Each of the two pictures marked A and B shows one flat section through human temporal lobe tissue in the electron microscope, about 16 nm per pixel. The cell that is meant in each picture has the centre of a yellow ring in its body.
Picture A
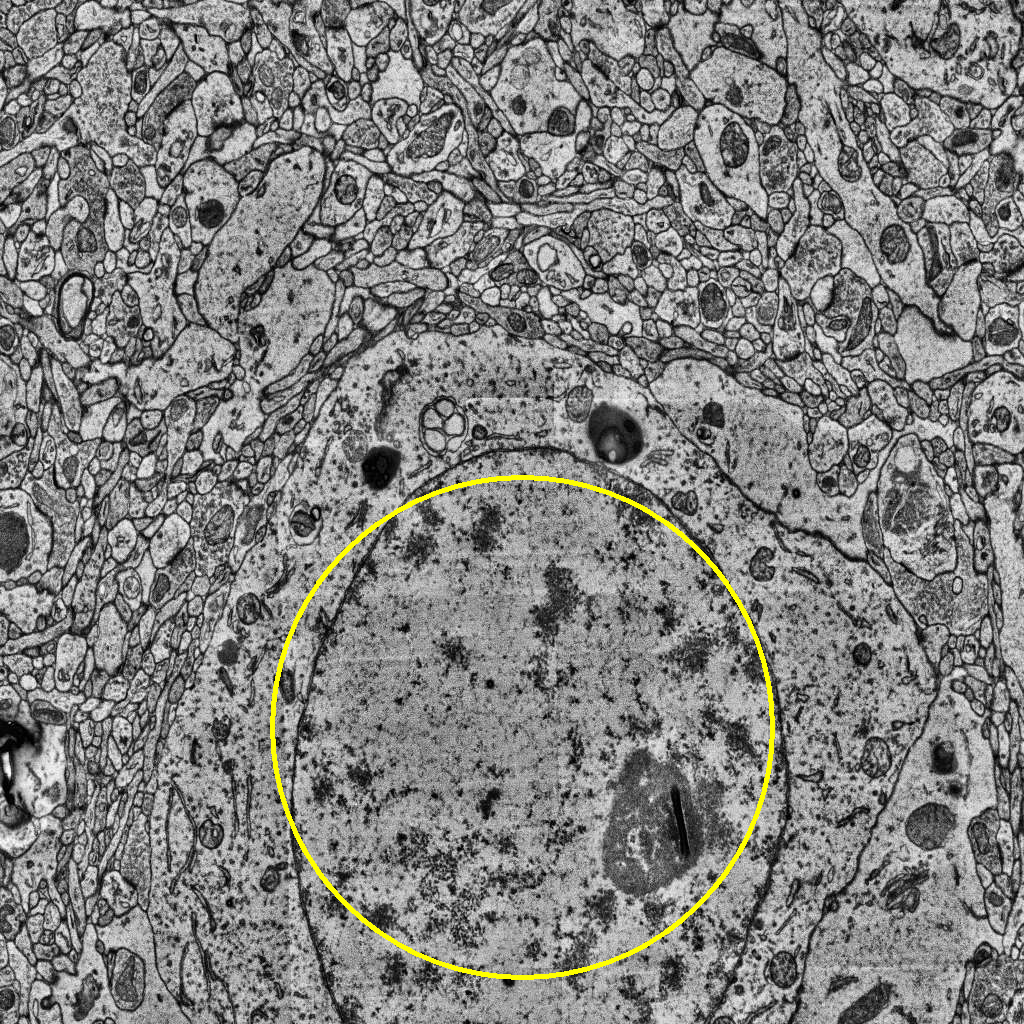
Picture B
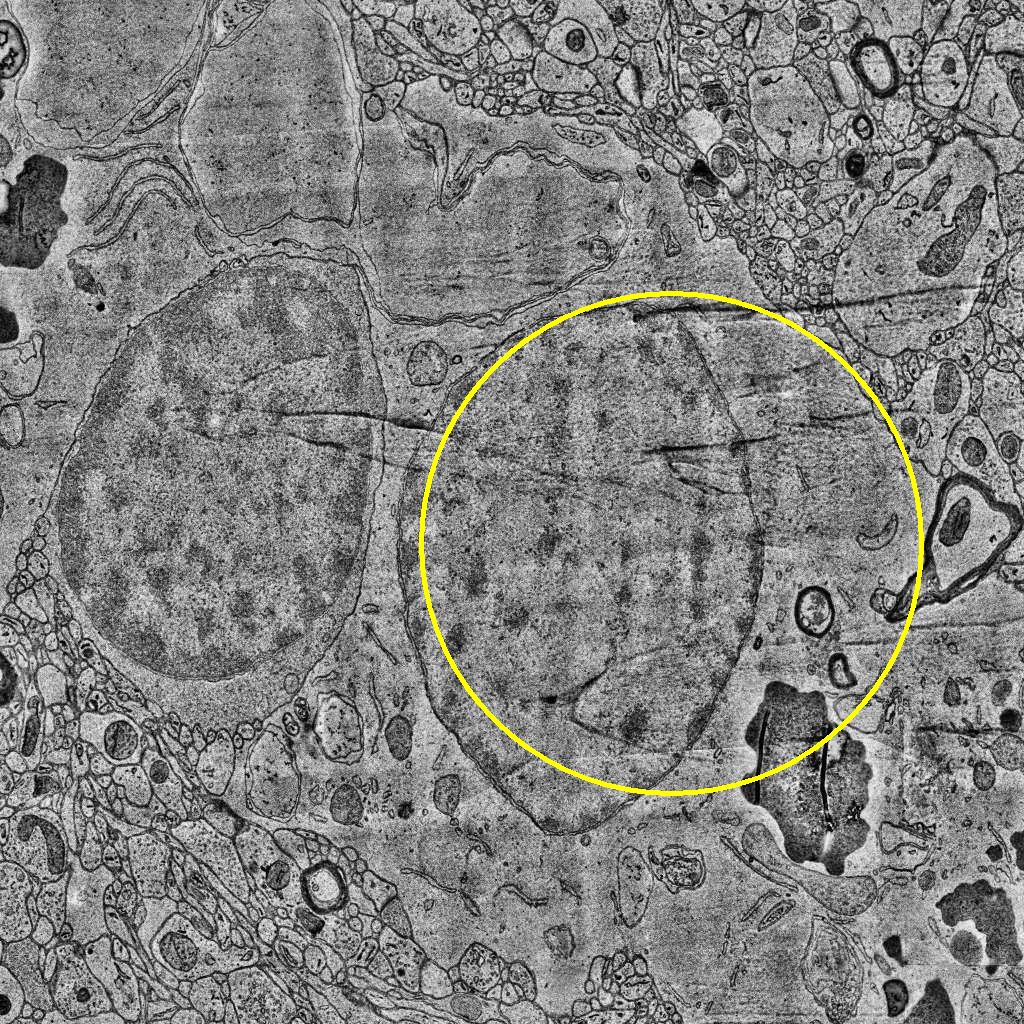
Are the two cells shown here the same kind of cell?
No, the types are not the same, since picture A shows a pyramidal neuron and picture B an astrocyte.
